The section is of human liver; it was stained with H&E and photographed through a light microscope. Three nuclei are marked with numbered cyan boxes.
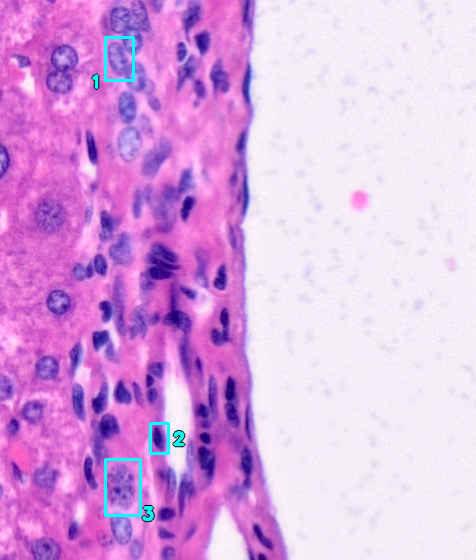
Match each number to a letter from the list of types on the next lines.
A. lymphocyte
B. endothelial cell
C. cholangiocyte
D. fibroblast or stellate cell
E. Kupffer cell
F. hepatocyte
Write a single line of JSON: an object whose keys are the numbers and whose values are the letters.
{"1": "C", "2": "D", "3": "C"}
